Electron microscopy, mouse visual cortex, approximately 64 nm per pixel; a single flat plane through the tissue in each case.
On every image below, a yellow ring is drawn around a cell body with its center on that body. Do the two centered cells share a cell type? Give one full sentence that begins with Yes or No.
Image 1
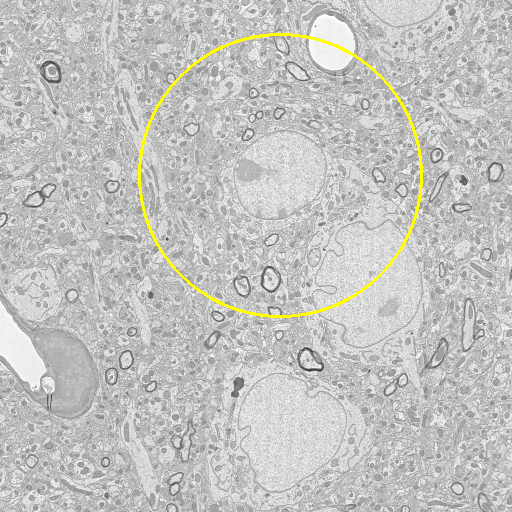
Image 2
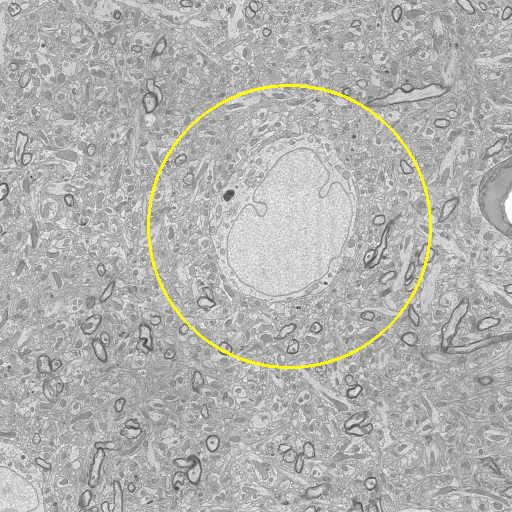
No, the centered cells in the two images are of two separate cell types.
